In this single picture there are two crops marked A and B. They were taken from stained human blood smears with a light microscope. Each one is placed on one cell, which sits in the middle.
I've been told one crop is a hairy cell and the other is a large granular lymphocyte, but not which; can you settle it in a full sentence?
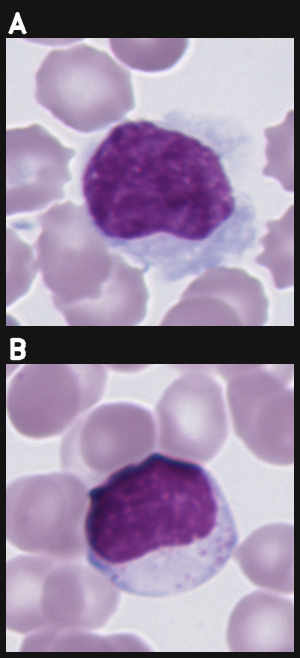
Represented in crop A is a hairy cell; represented in crop B is a large granular lymphocyte.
